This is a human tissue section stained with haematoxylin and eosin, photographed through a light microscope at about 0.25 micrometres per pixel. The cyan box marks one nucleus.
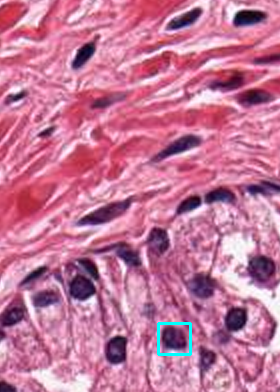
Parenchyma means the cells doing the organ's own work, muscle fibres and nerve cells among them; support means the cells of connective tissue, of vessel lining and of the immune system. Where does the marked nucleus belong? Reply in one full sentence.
The marked nucleus corresponds to a parenchymal cell, namely a prostate gland luminal cell.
